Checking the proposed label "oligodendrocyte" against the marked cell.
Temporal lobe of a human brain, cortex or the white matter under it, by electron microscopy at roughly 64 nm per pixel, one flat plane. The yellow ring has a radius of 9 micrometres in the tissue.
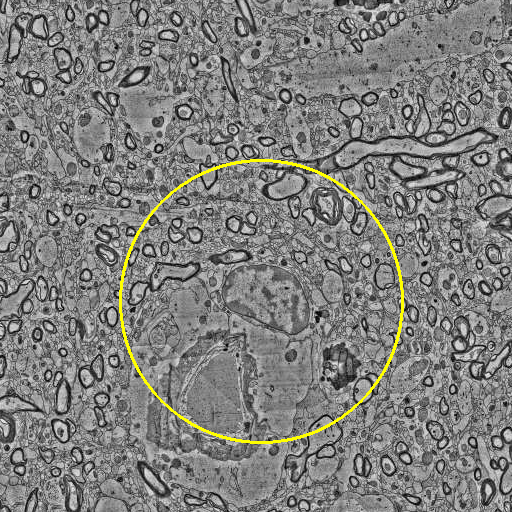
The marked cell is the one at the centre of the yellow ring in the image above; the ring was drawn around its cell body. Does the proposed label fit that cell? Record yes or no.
no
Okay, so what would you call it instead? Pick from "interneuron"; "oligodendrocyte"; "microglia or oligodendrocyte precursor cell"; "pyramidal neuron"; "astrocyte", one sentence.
The ring holds a microglial cell or oligodendrocyte precursor cell at its centre.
